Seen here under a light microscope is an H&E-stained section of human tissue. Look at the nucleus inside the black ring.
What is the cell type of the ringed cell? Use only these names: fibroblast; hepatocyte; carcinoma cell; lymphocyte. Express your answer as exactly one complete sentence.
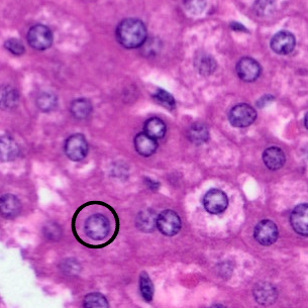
In terms of identity, the ringed cell is a hepatocyte.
